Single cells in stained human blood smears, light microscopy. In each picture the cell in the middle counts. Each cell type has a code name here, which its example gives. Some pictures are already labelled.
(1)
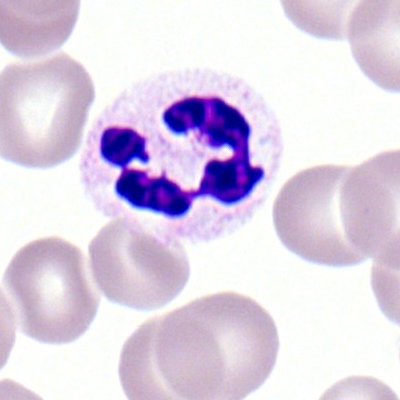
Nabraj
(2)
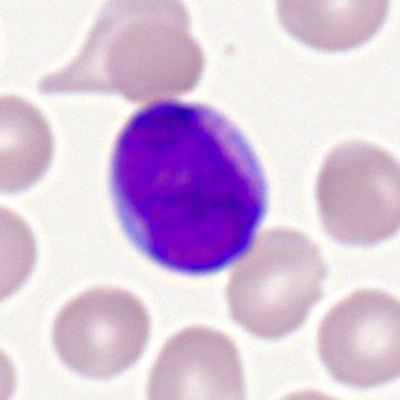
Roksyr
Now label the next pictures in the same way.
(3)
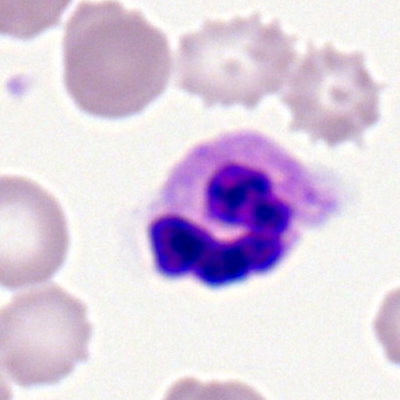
Nabraj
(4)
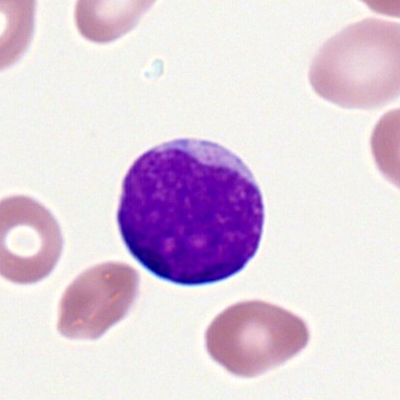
Roksyr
